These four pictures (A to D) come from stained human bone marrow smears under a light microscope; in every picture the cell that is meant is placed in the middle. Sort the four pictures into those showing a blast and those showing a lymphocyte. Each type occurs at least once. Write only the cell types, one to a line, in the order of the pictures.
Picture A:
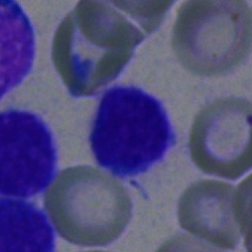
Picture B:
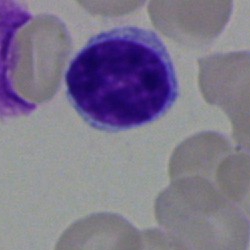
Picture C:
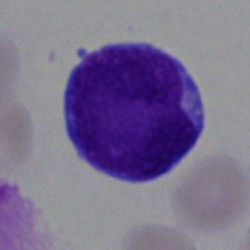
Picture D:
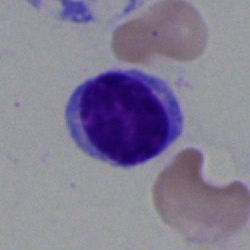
lymphocyte
lymphocyte
blast
lymphocyte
